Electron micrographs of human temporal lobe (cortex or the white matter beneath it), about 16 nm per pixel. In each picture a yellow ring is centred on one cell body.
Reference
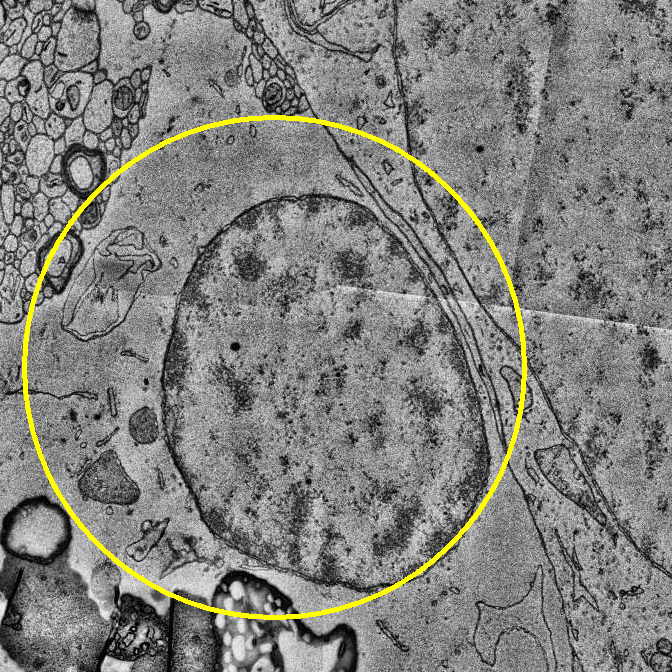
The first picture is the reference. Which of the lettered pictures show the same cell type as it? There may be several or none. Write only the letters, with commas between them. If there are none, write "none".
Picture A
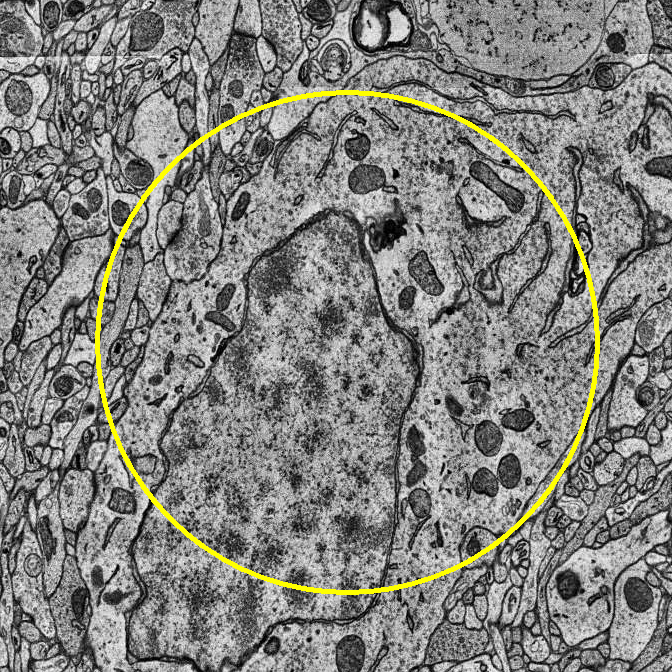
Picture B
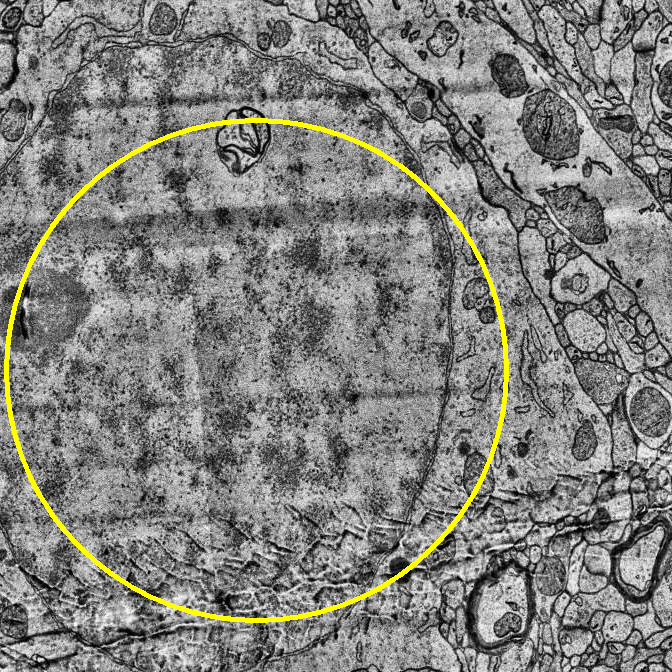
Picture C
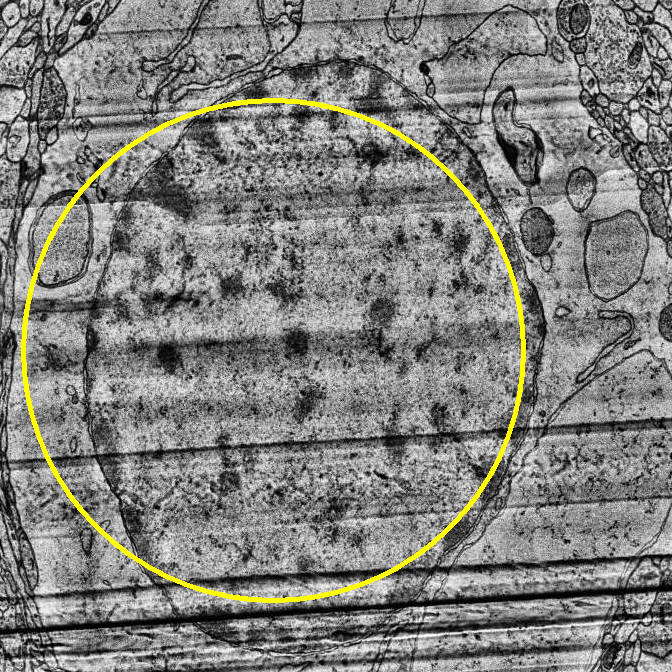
C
